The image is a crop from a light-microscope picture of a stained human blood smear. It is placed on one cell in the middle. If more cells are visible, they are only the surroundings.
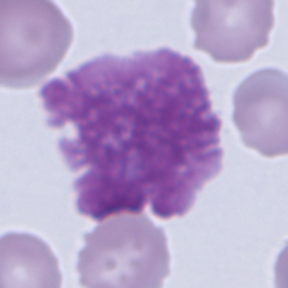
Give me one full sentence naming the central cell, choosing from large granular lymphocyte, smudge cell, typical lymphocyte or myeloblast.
Standing at the centre of this crop is a smudge cell.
